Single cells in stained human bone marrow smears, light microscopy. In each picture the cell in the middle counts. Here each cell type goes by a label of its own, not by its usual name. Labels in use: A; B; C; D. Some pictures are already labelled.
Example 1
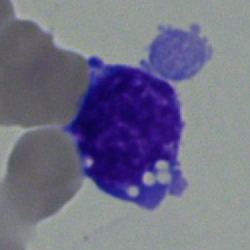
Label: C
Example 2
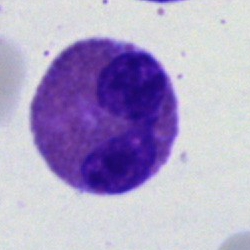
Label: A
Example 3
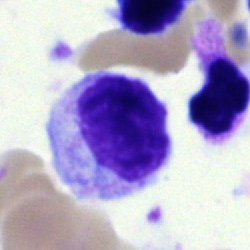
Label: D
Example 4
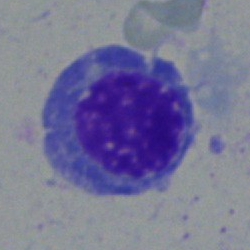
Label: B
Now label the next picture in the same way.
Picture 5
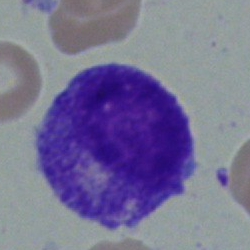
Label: D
